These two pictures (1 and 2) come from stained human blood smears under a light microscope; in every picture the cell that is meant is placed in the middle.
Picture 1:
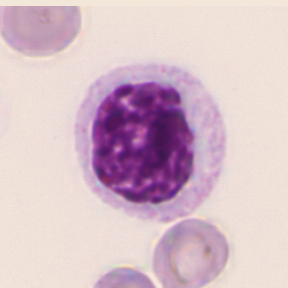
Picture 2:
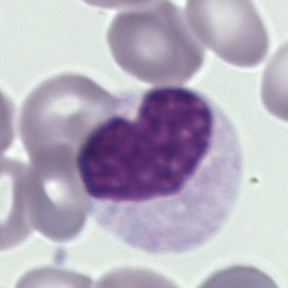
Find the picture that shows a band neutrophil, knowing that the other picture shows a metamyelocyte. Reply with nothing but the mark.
2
